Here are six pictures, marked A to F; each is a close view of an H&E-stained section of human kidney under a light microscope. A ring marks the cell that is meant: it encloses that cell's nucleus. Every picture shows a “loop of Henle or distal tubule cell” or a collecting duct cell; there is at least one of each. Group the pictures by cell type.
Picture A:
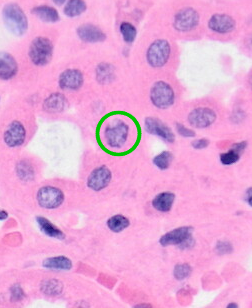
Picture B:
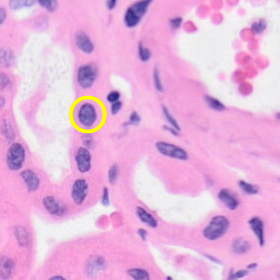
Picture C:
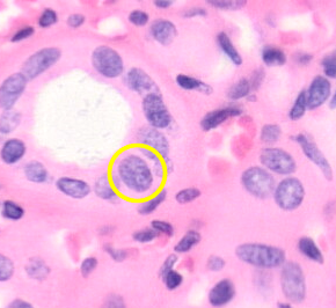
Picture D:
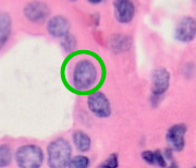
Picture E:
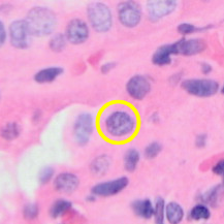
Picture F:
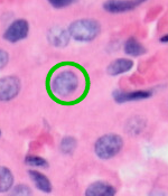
A: loop of Henle or distal tubule cell
B: collecting duct cell
C: collecting duct cell
D: collecting duct cell
E: loop of Henle or distal tubule cell
F: loop of Henle or distal tubule cell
